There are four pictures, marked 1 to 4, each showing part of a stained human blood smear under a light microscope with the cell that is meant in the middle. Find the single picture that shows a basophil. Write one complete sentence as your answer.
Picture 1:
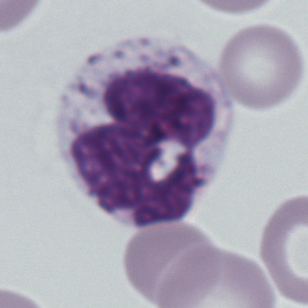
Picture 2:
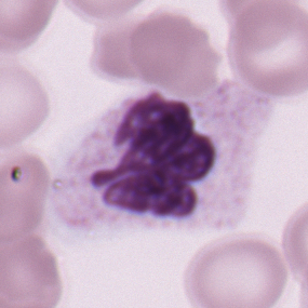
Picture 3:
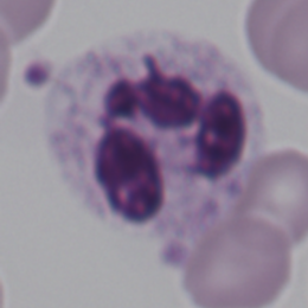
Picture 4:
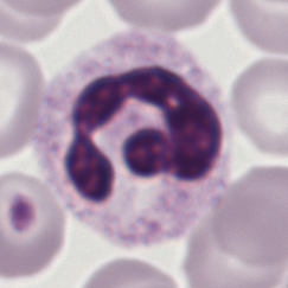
Picture 1 shows the basophil.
